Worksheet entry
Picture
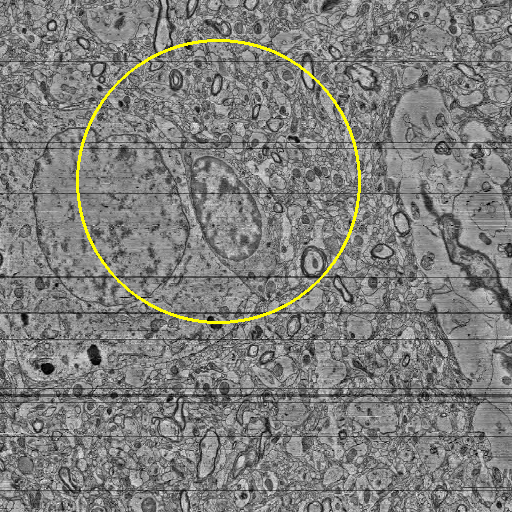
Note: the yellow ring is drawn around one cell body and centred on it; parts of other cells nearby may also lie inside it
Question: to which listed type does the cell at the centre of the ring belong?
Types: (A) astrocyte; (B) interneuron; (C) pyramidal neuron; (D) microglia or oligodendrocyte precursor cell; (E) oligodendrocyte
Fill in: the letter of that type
E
